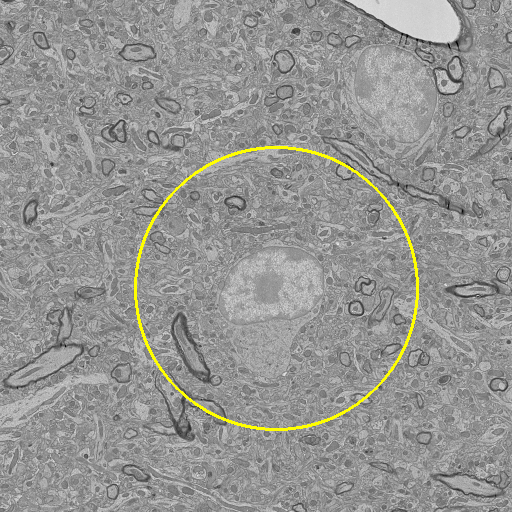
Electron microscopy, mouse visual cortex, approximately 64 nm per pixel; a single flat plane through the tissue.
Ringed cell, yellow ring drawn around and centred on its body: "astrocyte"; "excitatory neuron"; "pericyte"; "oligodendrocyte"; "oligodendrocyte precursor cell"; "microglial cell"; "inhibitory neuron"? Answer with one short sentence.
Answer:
This ringed cell is an oligodendrocyte.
